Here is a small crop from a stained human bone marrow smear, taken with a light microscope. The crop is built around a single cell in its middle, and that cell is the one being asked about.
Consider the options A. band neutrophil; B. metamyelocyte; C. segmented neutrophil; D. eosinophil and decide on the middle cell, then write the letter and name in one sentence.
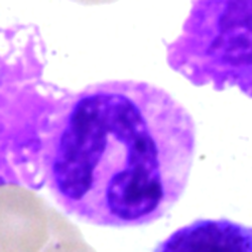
The cell at the centre, correctly named in option A, is a band neutrophil.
